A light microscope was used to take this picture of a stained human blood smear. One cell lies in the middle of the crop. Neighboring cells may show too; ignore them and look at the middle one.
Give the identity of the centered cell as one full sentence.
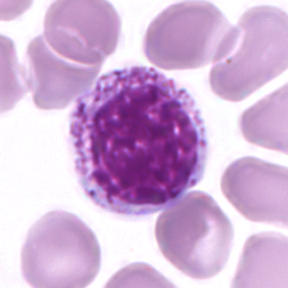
Classification of the middle cell gives a metamyelocyte.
